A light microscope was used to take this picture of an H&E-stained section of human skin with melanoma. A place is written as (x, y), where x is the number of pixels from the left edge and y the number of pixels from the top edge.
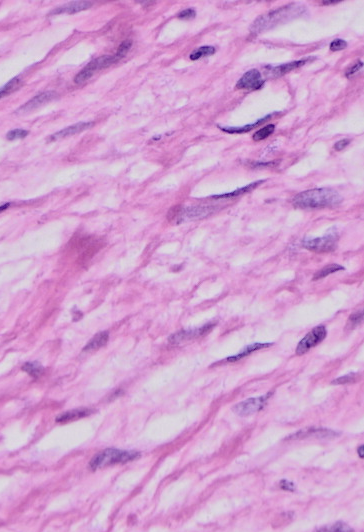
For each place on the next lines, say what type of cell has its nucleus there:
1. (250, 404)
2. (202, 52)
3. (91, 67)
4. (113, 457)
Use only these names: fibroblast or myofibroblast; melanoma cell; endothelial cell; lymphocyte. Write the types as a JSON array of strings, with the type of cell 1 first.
["fibroblast or myofibroblast", "lymphocyte", "fibroblast or myofibroblast", "fibroblast or myofibroblast"]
